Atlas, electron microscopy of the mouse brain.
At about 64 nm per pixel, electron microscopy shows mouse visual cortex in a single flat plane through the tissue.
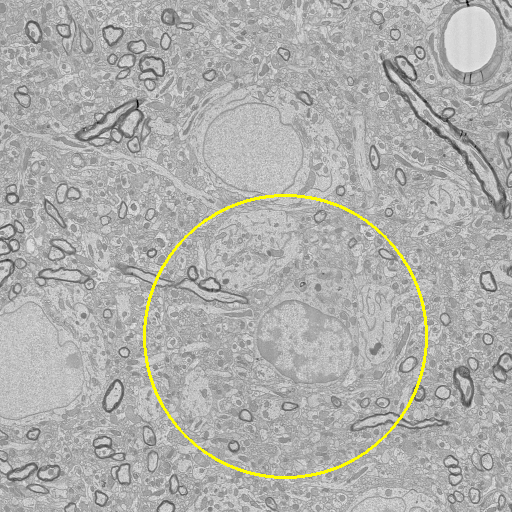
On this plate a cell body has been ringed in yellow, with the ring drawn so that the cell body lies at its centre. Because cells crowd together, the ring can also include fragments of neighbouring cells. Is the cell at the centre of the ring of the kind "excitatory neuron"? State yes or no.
No, it is of another kind.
